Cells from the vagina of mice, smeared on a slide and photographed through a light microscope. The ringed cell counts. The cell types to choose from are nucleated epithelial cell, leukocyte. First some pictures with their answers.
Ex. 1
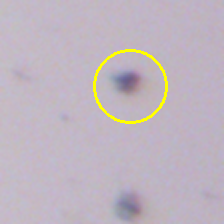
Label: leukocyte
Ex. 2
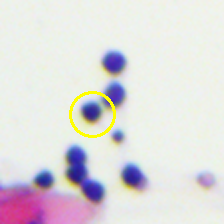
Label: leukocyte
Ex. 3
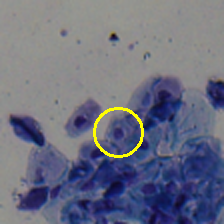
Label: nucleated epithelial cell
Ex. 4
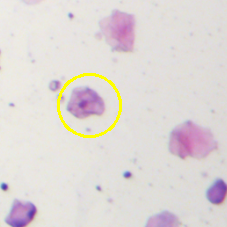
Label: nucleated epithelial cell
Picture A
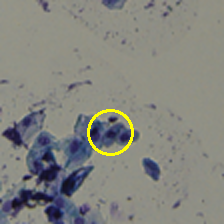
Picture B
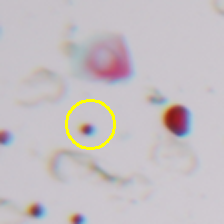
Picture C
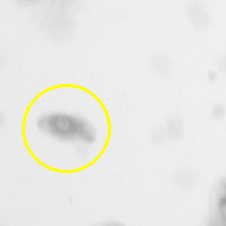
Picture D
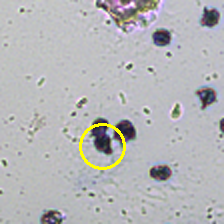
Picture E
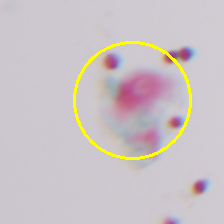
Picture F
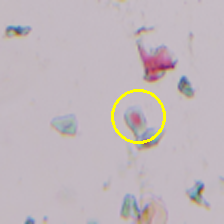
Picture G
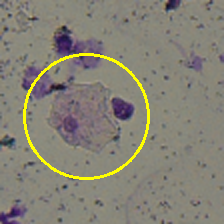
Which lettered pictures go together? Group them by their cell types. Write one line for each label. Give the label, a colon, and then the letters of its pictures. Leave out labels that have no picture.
nucleated epithelial cell: A, C, E, F, G
leukocyte: B, D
